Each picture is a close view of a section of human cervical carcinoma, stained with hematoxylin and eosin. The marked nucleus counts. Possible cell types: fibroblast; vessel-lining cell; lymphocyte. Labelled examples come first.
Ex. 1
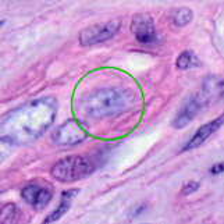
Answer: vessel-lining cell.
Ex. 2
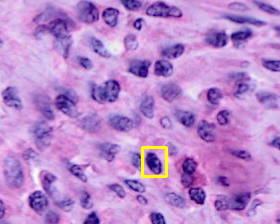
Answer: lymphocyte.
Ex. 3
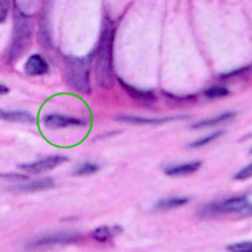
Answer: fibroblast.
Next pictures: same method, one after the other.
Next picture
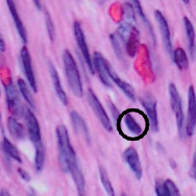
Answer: fibroblast.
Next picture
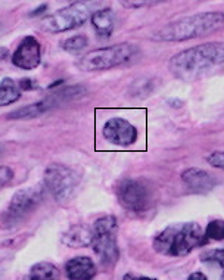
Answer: lymphocyte.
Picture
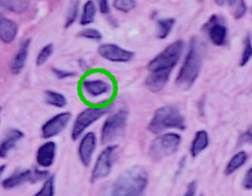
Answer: fibroblast.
